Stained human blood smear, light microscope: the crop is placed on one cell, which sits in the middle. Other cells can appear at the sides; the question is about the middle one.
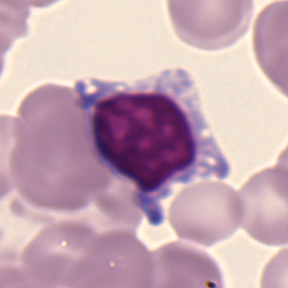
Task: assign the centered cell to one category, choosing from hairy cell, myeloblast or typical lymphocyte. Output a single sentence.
Here the cell in the middle is a typical lymphocyte.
